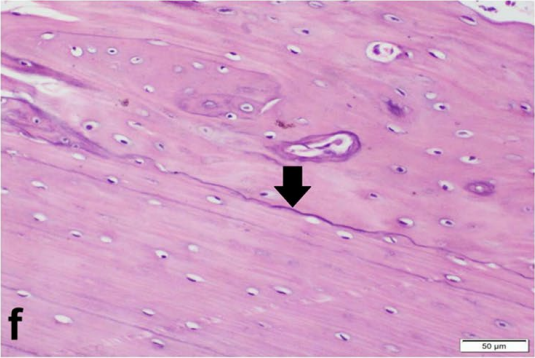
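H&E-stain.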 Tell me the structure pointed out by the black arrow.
basophilic cement line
